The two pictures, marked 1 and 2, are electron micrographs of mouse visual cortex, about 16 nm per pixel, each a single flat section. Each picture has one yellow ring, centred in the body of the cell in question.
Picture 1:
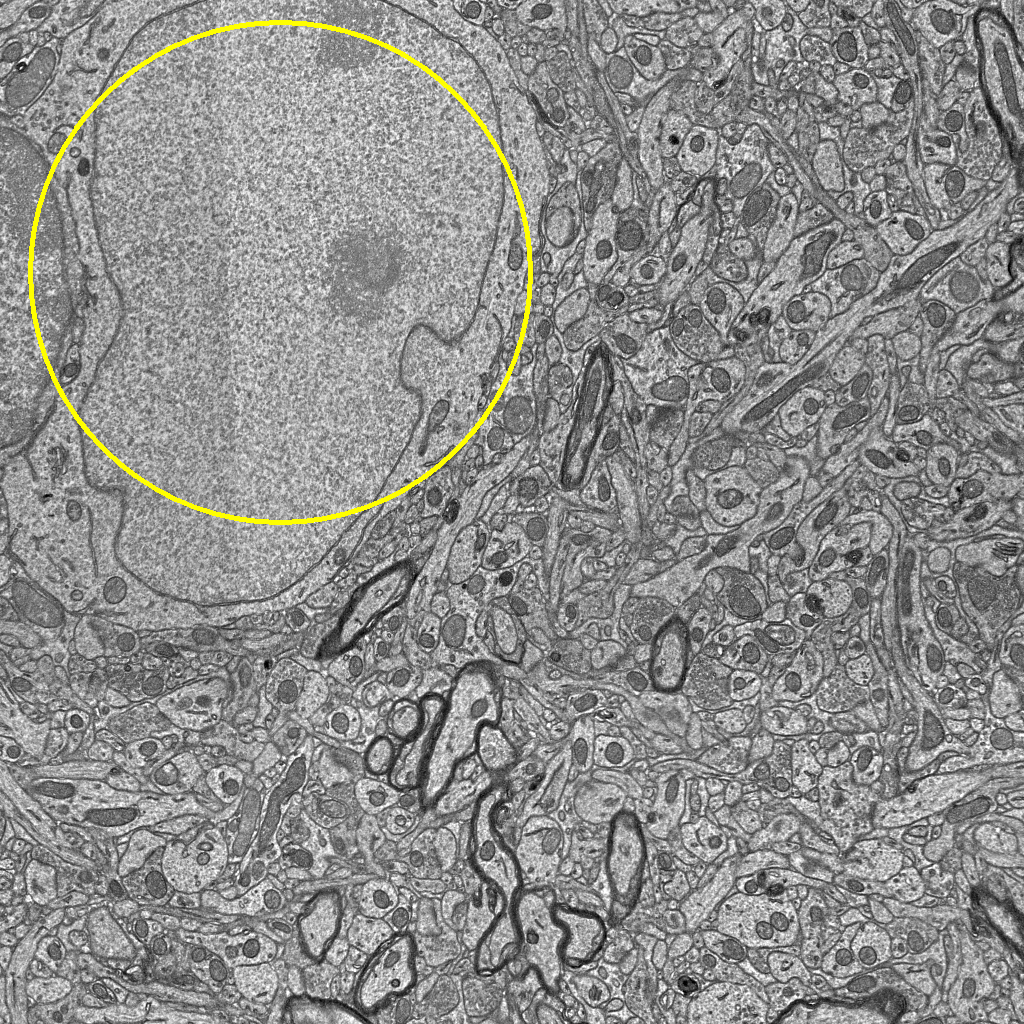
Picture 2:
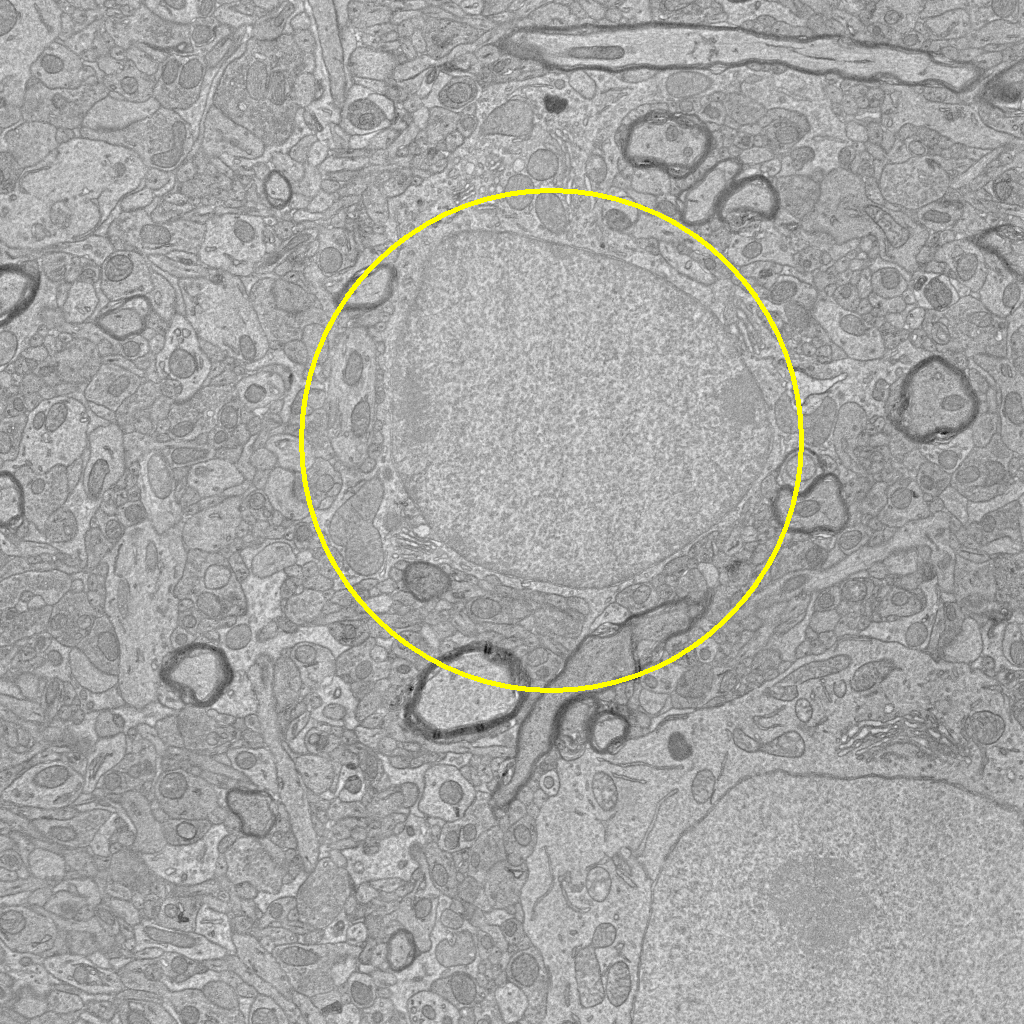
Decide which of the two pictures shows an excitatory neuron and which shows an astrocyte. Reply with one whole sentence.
Picture 2 shows an astrocyte, while picture 1 shows an excitatory neuron.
